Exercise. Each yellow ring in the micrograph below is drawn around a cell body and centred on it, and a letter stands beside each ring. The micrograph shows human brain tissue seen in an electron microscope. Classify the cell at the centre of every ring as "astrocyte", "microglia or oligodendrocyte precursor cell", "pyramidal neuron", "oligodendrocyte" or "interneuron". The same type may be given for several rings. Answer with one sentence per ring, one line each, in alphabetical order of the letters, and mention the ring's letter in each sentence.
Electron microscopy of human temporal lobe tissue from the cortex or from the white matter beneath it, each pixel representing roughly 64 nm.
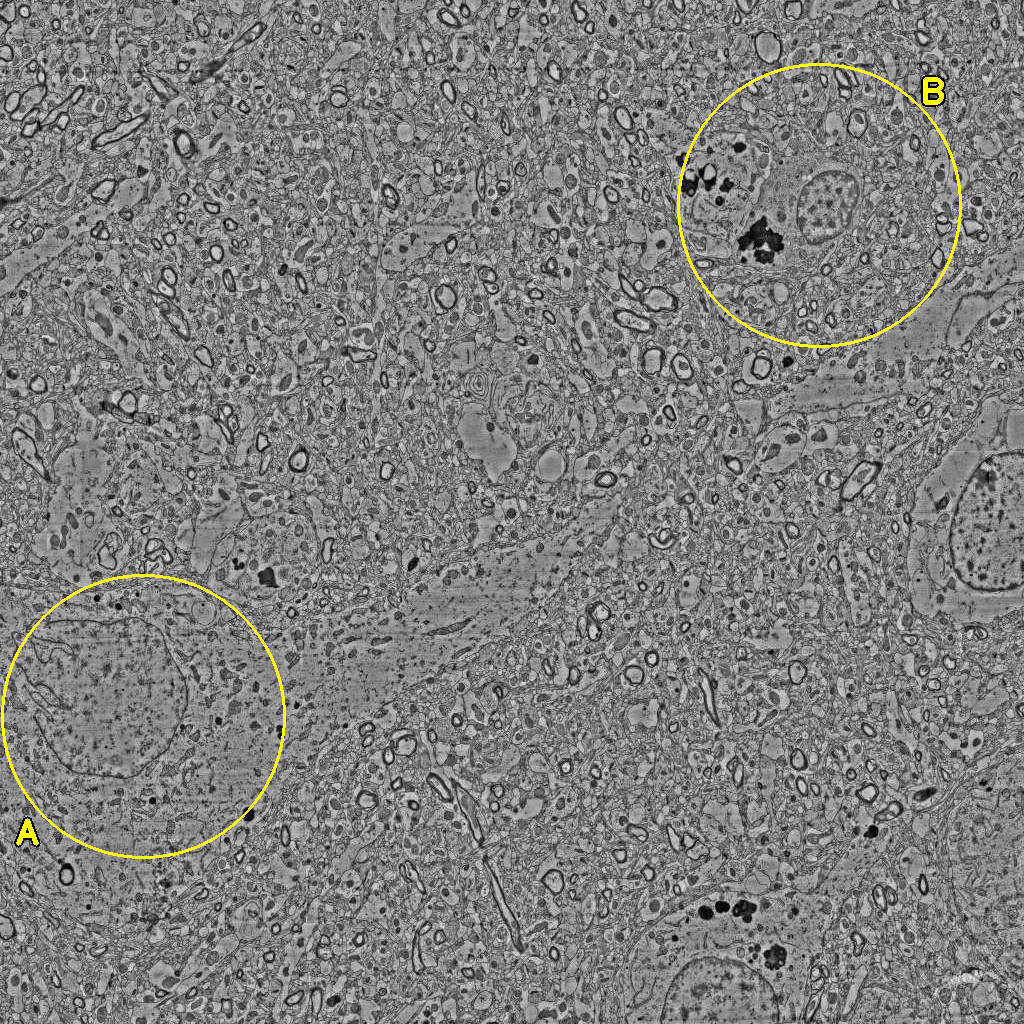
In ring A, the central cell is a pyramidal neuron.
In ring B, the central cell is an oligodendrocyte.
